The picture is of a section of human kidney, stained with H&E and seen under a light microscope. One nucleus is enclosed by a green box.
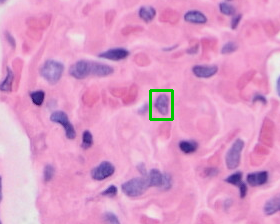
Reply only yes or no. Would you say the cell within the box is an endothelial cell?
yes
